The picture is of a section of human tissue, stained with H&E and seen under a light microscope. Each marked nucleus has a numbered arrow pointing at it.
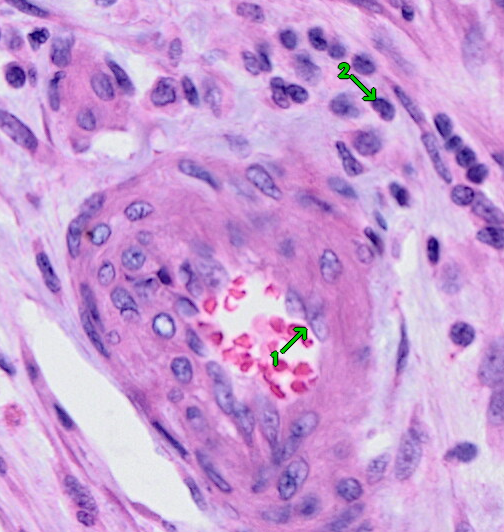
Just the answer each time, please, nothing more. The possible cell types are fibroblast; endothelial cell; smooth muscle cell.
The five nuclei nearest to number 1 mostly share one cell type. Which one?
smooth muscle cell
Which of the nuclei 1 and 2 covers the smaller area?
2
